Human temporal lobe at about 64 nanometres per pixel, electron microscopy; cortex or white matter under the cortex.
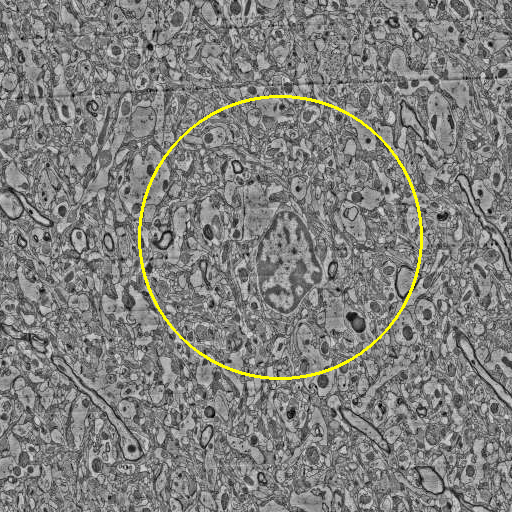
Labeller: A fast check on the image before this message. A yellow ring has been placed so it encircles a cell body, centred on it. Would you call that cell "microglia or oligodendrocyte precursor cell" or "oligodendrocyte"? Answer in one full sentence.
In this image, a microglial cell or oligodendrocyte precursor cell is the cell on which the yellow ring is centred.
